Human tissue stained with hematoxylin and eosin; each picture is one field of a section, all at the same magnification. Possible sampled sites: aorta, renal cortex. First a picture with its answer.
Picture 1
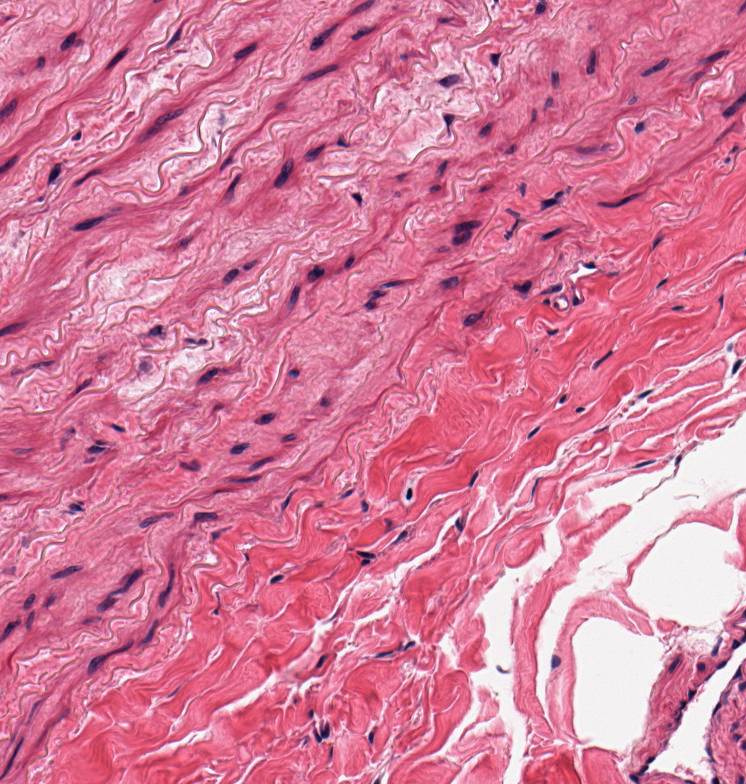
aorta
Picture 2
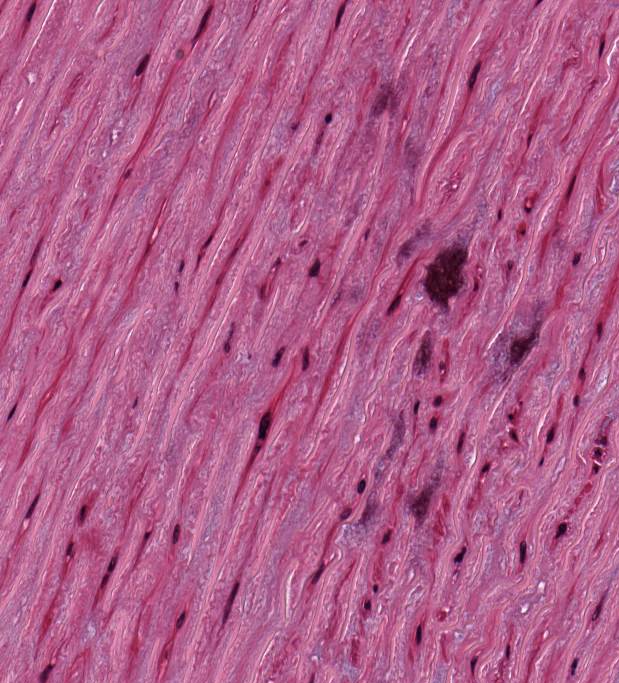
aorta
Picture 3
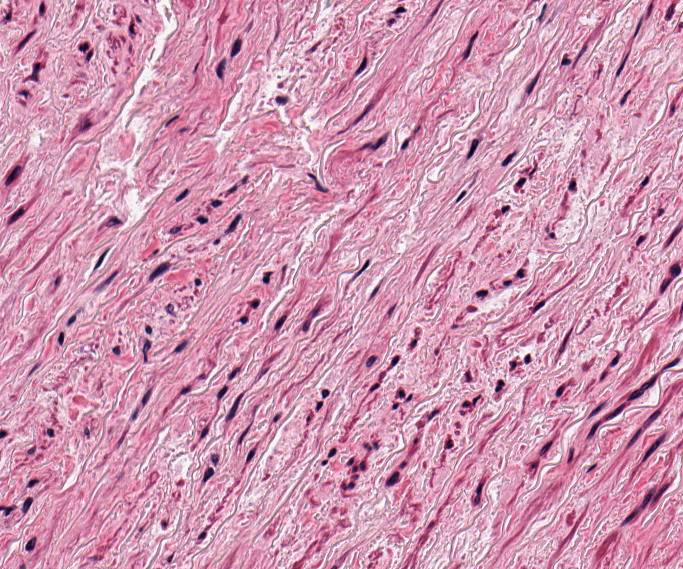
aorta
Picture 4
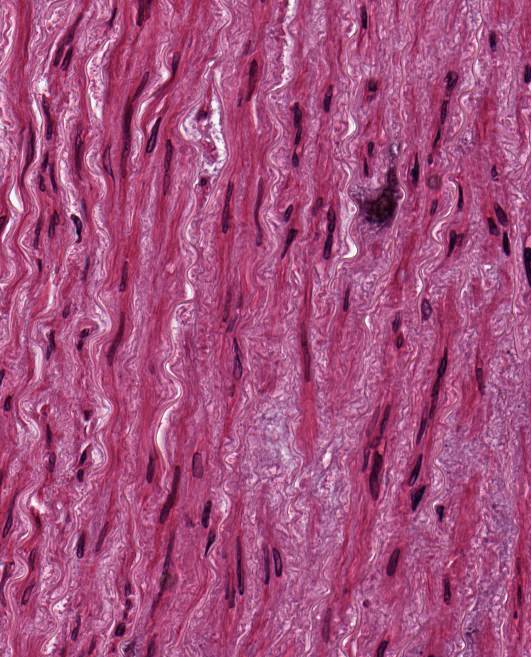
aorta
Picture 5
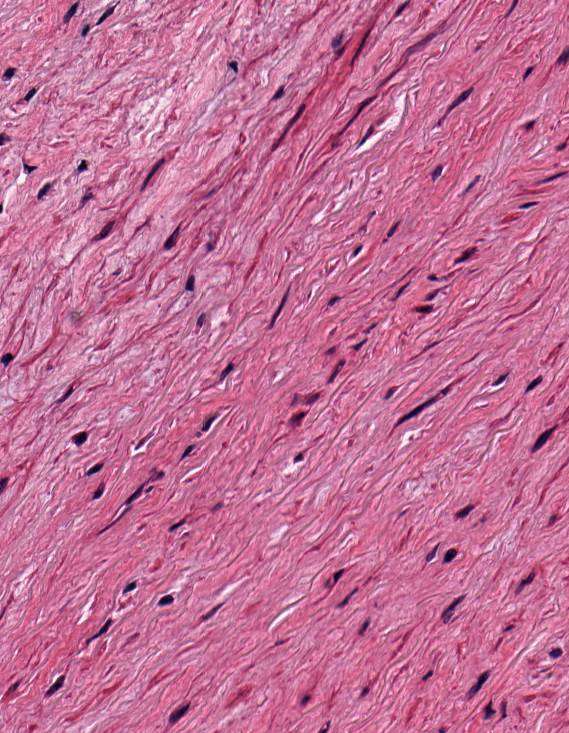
aorta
